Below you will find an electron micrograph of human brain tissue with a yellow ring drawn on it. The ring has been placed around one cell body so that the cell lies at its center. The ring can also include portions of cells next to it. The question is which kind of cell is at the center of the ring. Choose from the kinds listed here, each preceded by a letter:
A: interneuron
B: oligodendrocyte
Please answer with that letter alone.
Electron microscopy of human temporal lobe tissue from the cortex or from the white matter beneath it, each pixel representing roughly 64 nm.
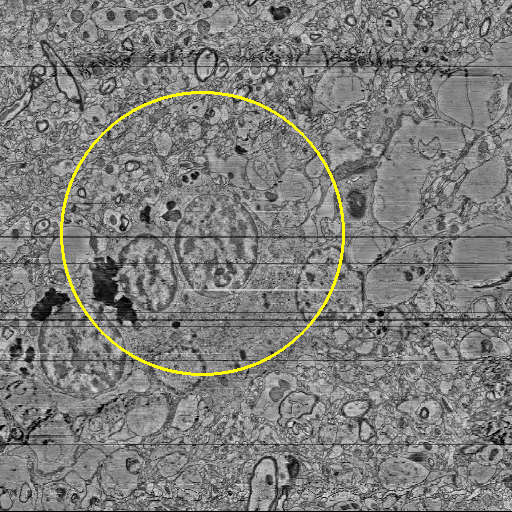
B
